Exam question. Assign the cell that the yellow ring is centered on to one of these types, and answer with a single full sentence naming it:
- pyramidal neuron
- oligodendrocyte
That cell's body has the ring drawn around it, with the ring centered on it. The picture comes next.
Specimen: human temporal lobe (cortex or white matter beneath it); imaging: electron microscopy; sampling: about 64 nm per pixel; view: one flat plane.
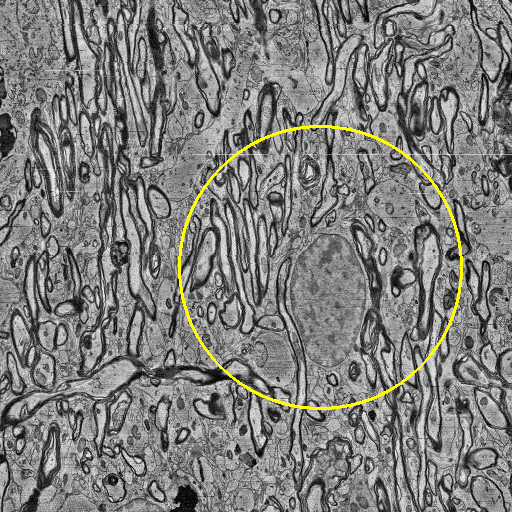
In the micrograph, the cell the yellow ring is centered on is an oligodendrocyte.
